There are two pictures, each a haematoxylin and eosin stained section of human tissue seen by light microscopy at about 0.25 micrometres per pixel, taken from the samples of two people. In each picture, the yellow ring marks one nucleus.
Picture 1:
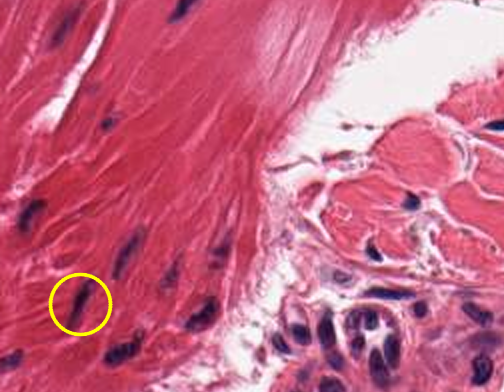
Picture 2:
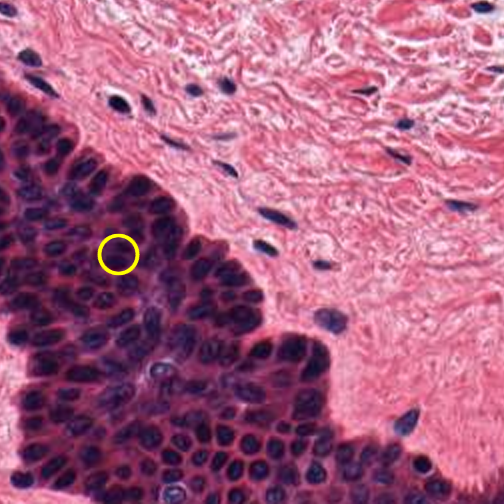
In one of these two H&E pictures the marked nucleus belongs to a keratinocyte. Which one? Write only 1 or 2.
2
